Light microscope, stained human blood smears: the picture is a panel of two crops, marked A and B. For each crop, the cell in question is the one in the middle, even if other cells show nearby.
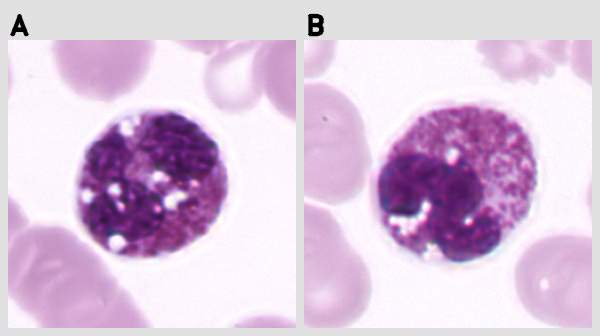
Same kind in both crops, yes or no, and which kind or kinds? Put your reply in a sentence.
Yes, the cells centred in the two crops are both eosinophils.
